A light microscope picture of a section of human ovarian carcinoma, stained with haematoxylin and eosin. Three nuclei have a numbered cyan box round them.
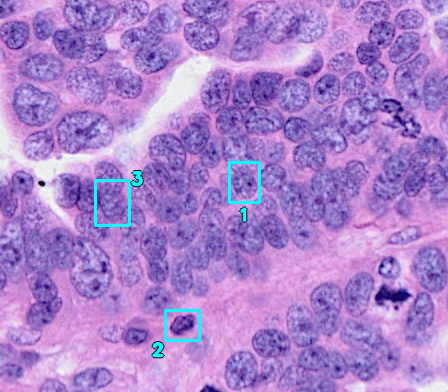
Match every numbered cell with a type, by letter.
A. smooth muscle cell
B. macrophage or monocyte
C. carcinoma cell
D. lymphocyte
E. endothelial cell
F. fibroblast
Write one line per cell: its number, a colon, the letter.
1: C
2: D
3: C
